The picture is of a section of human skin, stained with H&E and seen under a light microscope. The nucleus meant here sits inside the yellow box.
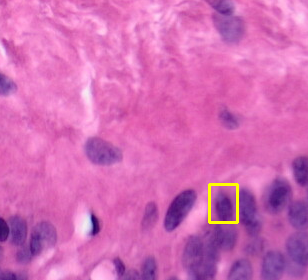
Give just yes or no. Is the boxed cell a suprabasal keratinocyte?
no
